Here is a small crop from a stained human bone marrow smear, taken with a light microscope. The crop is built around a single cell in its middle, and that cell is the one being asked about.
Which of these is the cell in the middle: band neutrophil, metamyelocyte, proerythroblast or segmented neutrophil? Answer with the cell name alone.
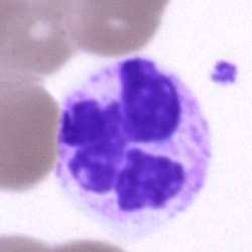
segmented neutrophil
